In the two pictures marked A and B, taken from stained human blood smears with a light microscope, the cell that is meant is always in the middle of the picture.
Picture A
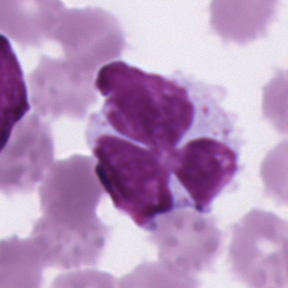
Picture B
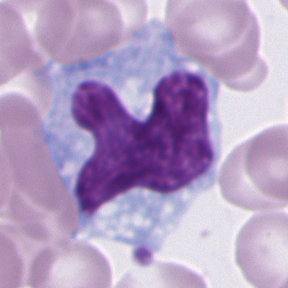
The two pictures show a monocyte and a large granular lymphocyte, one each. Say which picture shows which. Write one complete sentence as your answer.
It is picture A that shows a large granular lymphocyte, and picture B that shows a monocyte.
